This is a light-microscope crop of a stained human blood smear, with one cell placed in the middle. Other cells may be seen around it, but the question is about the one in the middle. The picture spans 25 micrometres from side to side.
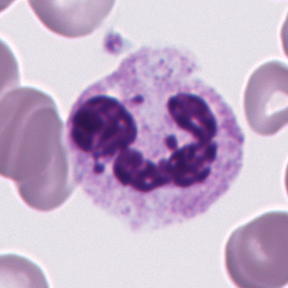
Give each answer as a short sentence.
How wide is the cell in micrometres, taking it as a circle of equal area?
Taken as a circle, the cell has a diameter of about 15 micrometres.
